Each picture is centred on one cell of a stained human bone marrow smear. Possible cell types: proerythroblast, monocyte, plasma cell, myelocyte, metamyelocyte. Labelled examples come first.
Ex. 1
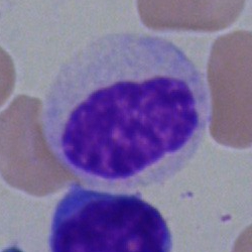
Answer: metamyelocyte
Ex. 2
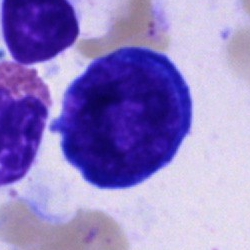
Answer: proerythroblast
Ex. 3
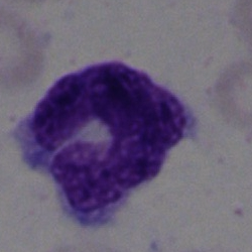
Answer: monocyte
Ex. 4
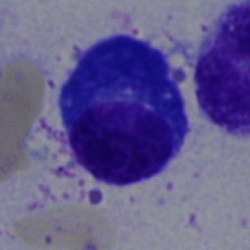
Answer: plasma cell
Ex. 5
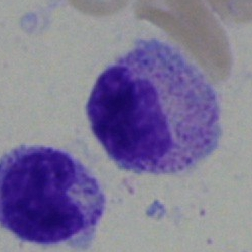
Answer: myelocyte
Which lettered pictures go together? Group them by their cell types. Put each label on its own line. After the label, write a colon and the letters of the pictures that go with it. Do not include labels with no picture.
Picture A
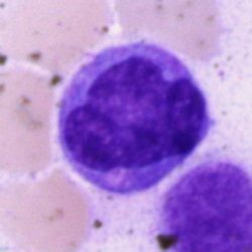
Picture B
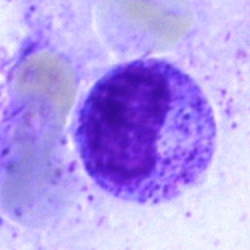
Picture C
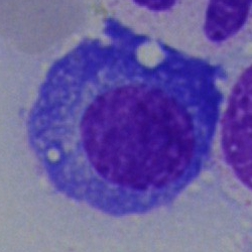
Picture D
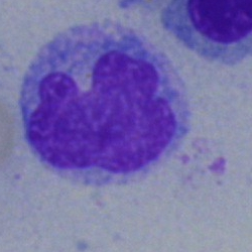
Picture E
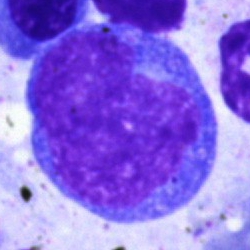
proerythroblast: E
monocyte: A, D
plasma cell: C
metamyelocyte: B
